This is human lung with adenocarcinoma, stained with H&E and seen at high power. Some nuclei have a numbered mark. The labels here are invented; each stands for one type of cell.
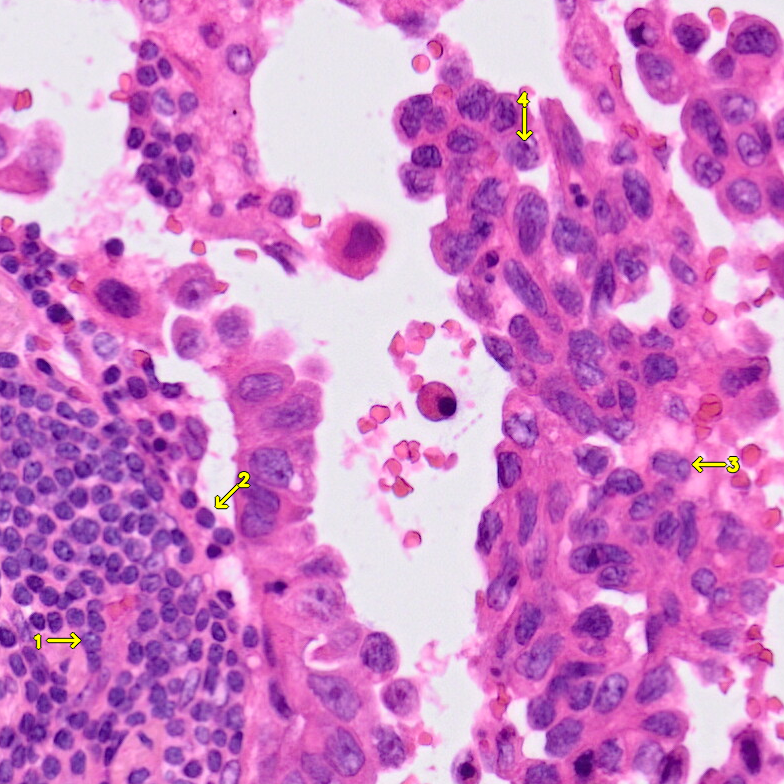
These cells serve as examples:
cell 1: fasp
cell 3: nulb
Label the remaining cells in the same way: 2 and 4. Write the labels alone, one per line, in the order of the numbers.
fasp
nulb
